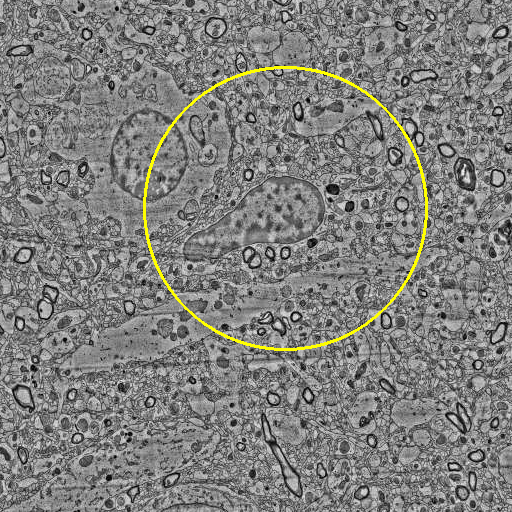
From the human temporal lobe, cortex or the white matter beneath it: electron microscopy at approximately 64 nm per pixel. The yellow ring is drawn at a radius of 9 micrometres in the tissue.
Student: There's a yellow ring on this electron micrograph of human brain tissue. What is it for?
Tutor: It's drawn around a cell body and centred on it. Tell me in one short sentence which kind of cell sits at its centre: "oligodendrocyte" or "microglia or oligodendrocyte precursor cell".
The cell at the centre of the ring is a microglial cell or oligodendrocyte precursor cell.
